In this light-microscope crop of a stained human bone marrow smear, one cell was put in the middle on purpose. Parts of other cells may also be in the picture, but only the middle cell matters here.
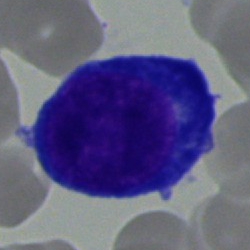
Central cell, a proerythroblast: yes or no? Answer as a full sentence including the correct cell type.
Yes, the centred cell is categorised as a proerythroblast.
